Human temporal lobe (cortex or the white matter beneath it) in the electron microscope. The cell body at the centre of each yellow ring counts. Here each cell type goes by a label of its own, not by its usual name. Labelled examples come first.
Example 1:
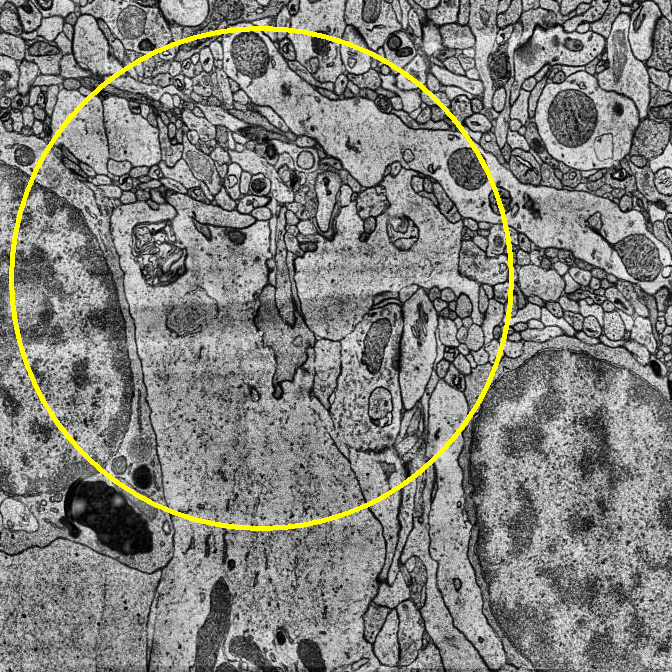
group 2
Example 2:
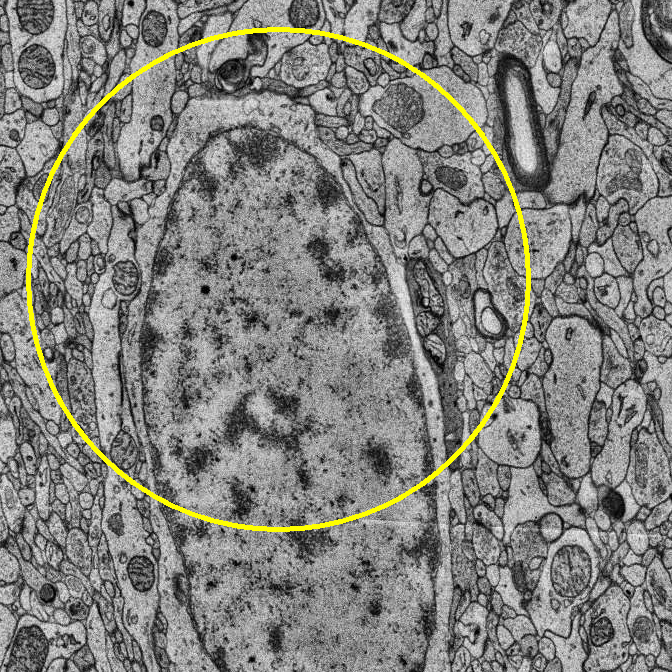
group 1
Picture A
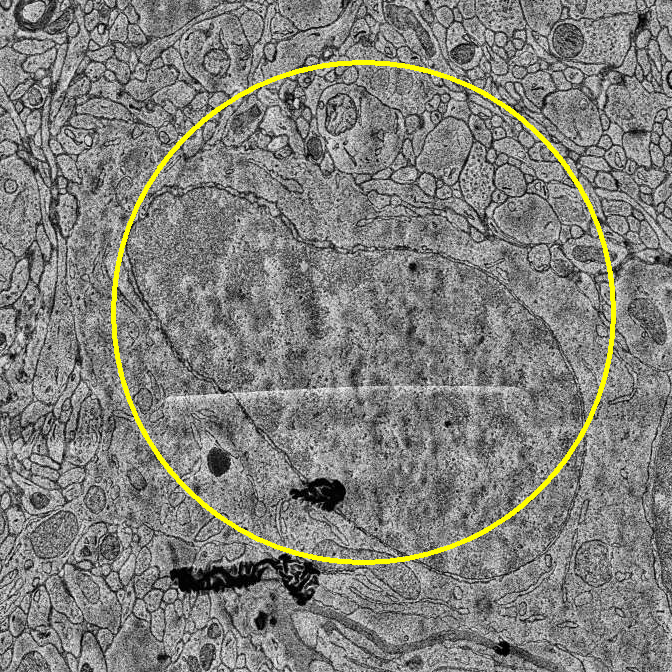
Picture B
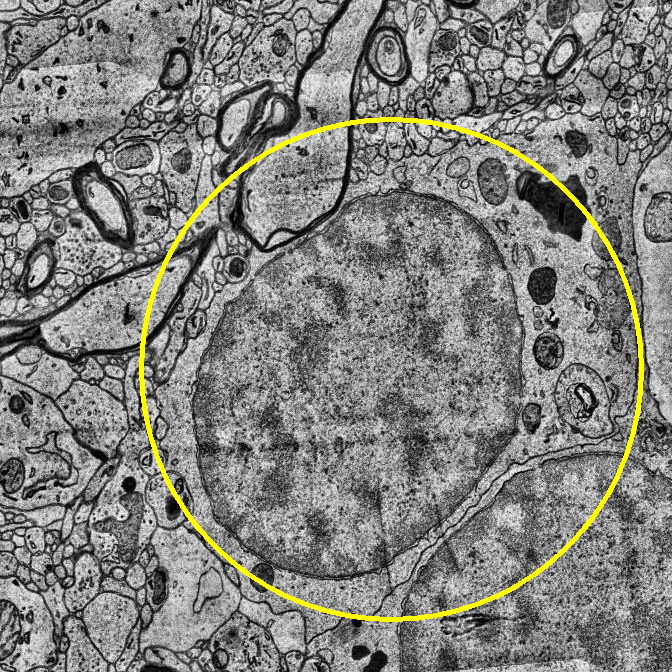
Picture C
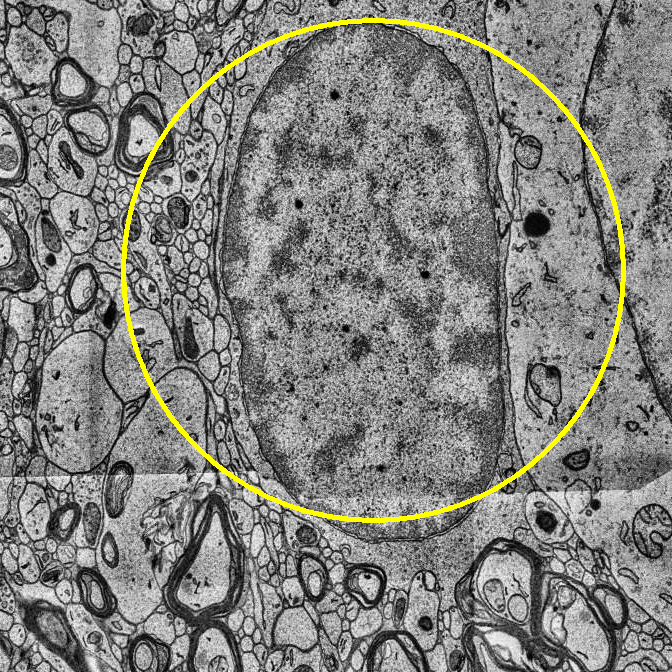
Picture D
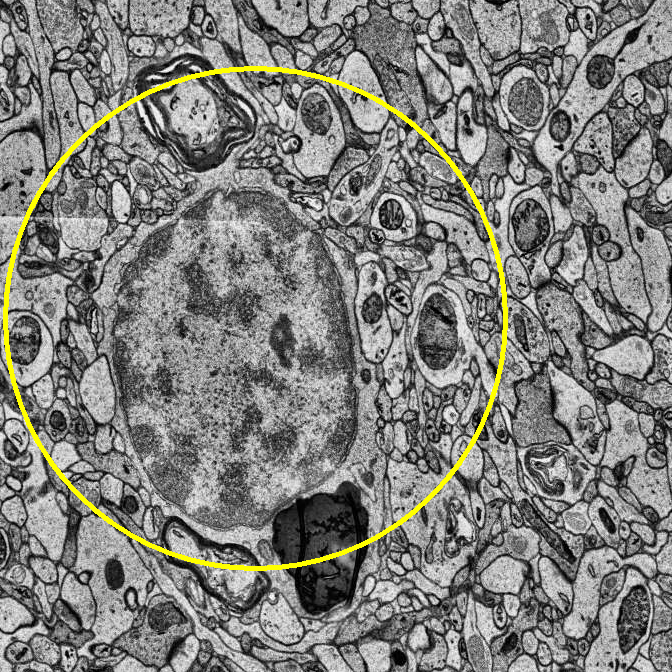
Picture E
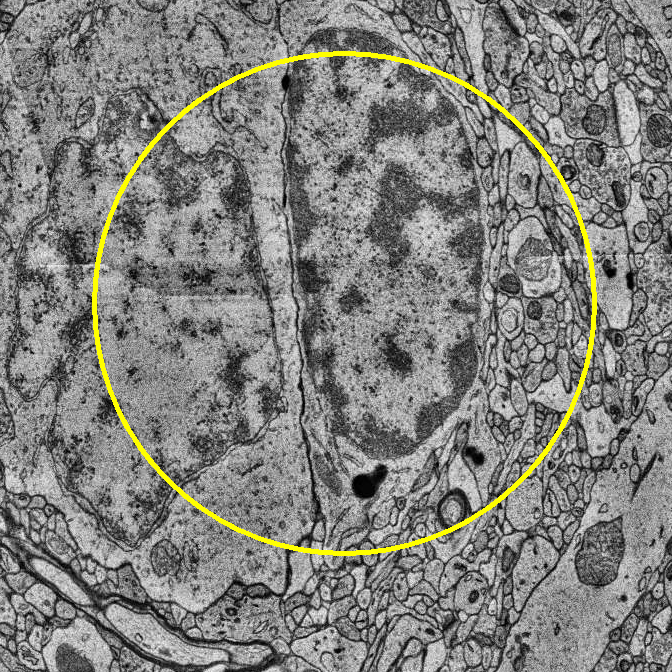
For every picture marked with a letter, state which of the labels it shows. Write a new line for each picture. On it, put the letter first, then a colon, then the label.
A: group 1
B: group 2
C: group 2
D: group 2
E: group 1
